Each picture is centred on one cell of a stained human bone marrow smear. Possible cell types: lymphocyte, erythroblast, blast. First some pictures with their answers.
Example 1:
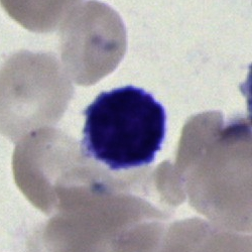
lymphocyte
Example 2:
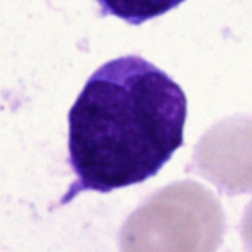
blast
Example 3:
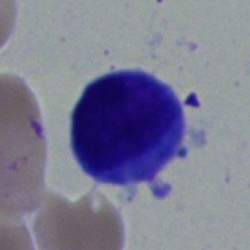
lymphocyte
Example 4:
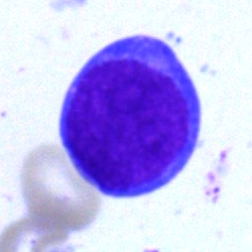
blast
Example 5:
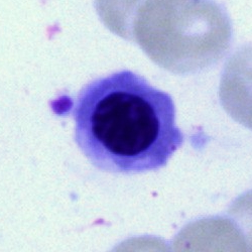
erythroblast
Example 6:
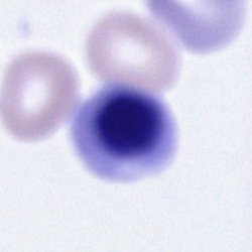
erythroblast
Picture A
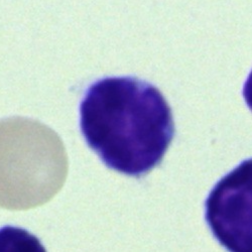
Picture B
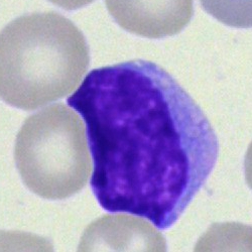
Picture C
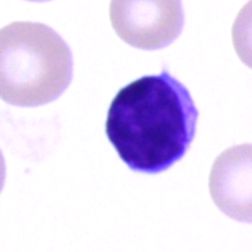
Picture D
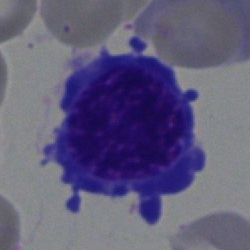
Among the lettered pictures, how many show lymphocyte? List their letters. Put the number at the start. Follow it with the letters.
2: A, C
